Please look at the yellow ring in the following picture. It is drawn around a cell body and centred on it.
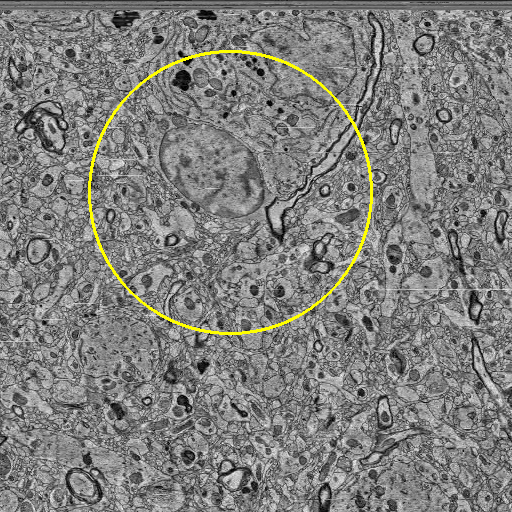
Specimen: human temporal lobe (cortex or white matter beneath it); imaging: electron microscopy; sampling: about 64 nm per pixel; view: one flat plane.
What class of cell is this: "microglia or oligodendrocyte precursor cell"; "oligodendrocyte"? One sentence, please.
The ring surrounds the cell body of an oligodendrocyte.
